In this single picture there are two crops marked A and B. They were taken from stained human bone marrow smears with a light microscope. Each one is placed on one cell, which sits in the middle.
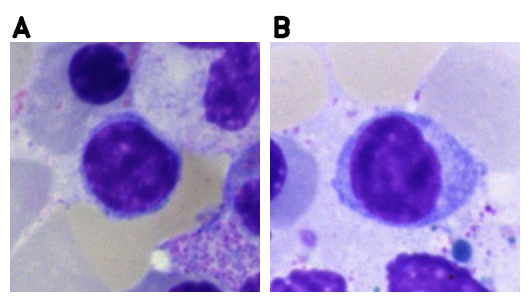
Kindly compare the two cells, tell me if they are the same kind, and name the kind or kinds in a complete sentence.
Yes, lymphocytes occupy the centre of both crops.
